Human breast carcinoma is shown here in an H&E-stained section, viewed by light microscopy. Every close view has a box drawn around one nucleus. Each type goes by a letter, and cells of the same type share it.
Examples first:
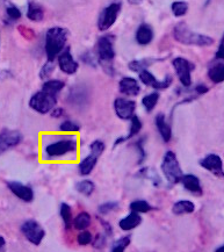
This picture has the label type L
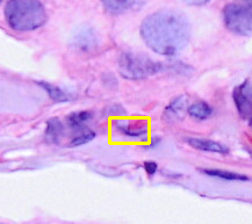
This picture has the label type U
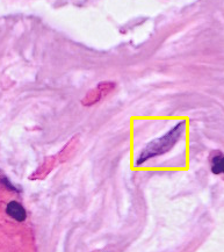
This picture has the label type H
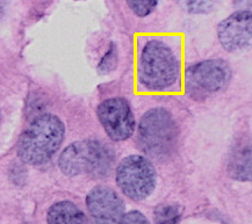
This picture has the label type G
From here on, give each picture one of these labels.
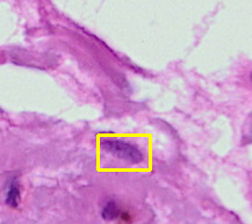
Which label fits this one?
type H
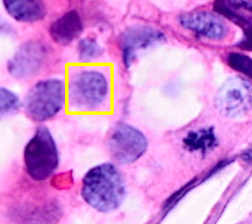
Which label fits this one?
type G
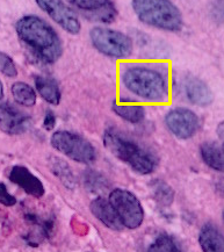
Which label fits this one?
type G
